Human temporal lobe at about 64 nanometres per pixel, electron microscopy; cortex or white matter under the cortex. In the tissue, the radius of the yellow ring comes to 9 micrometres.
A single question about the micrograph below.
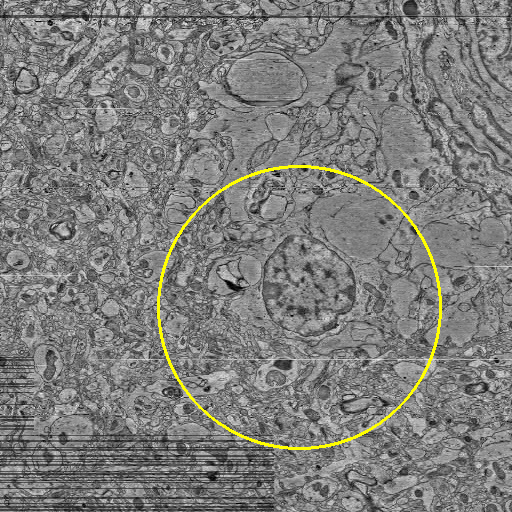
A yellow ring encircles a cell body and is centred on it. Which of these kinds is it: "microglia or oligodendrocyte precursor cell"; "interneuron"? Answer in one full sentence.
The cell body at the centre of the yellow ring belongs to a microglial cell or oligodendrocyte precursor cell.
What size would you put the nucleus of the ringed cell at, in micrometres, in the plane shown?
Roughly 7 by 6 micrometres is the size of the nucleus in this plane.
